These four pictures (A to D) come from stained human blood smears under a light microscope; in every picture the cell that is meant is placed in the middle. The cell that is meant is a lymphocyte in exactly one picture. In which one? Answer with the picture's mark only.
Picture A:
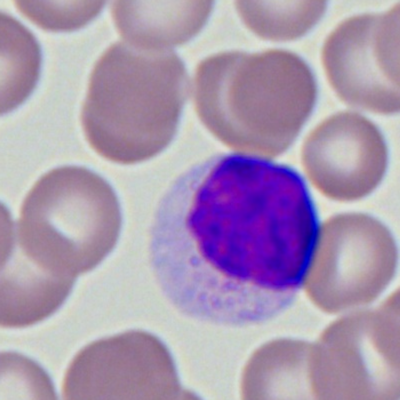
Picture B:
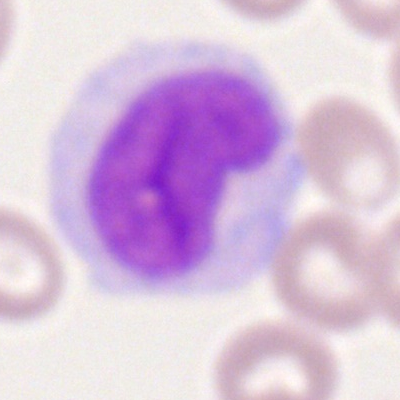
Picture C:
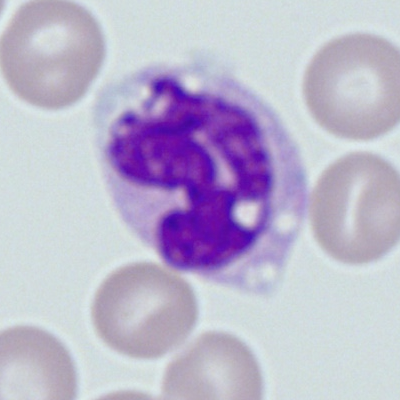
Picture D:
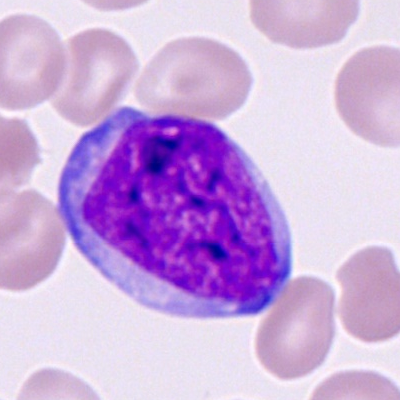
A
